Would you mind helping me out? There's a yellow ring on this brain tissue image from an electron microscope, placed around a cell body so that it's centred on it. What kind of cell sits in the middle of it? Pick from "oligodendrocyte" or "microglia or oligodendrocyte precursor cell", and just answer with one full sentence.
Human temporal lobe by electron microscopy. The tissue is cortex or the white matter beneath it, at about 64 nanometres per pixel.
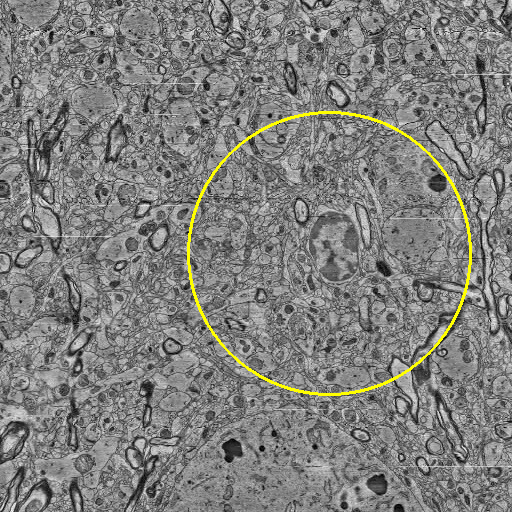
What sits in the middle of that yellow ring is a microglial cell or oligodendrocyte precursor cell, from your choices.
